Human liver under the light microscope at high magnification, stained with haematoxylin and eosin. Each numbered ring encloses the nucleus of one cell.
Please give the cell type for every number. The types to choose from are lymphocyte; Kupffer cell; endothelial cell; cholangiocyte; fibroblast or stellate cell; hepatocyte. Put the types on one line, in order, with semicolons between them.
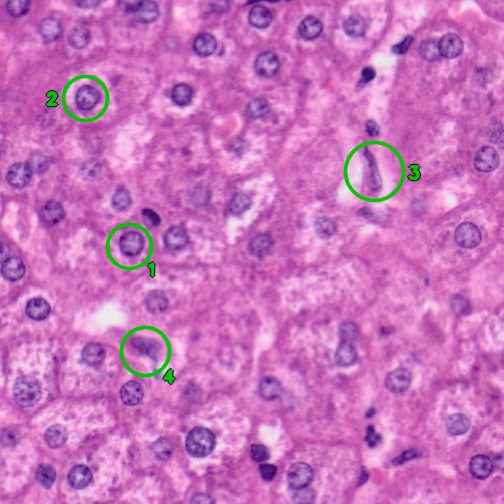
hepatocyte; hepatocyte; Kupffer cell; Kupffer cell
